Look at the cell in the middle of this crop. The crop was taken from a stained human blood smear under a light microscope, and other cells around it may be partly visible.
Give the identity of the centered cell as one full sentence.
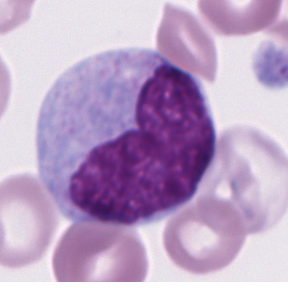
The centrally placed cell is classified as a monocyte.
